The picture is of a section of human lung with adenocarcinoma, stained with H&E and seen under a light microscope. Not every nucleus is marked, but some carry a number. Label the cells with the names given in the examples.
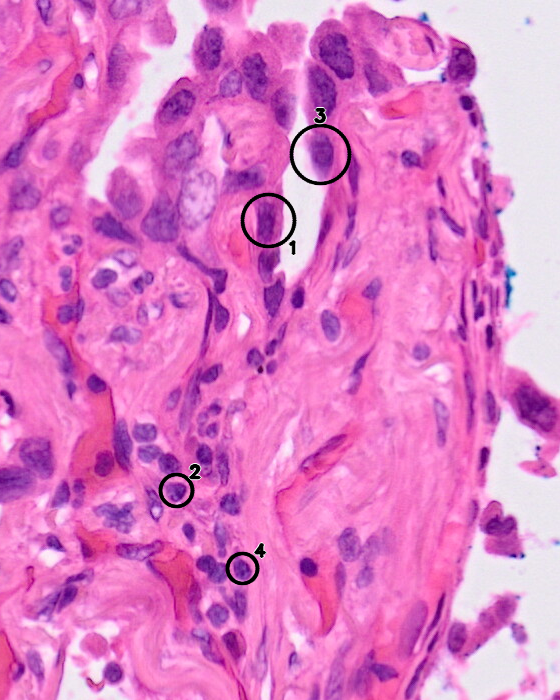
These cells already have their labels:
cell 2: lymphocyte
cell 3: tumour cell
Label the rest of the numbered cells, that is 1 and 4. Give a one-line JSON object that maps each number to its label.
{"1": "tumour cell", "4": "lymphocyte"}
